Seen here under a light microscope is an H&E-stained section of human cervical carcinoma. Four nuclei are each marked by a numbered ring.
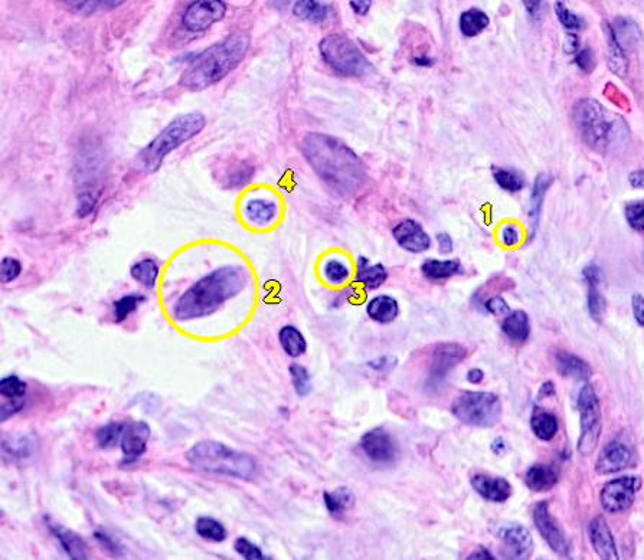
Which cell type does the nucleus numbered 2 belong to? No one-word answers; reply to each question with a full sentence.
The one labeled 2 is a macrophage or monocyte, to put it simply.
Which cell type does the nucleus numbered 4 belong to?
In this section, number 4 marks a lymphocyte.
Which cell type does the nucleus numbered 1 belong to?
Heads up, the cell numbered 1 is a lymphocyte.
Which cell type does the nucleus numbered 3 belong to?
Cell 3 in the field is a lymphocyte.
